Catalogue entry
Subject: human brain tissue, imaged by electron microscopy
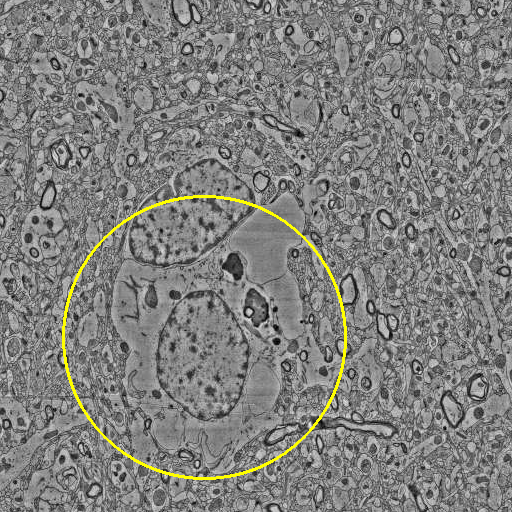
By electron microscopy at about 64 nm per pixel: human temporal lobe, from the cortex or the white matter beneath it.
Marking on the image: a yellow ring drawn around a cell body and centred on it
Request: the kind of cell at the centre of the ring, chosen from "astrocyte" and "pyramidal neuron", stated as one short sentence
The ring has an astrocyte at its centre.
